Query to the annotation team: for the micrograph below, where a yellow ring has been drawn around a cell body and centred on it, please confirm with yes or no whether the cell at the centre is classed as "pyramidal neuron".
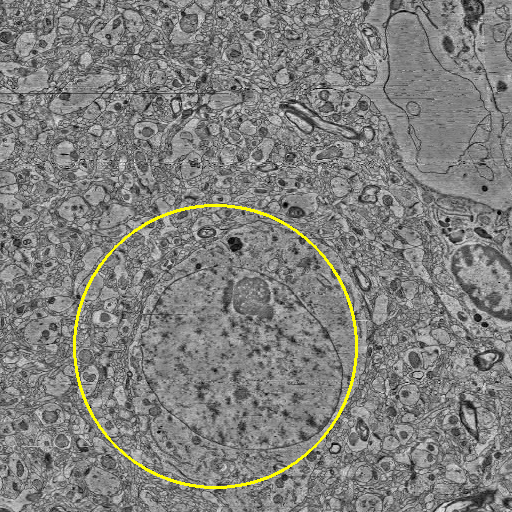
Yes, it is classed that way.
